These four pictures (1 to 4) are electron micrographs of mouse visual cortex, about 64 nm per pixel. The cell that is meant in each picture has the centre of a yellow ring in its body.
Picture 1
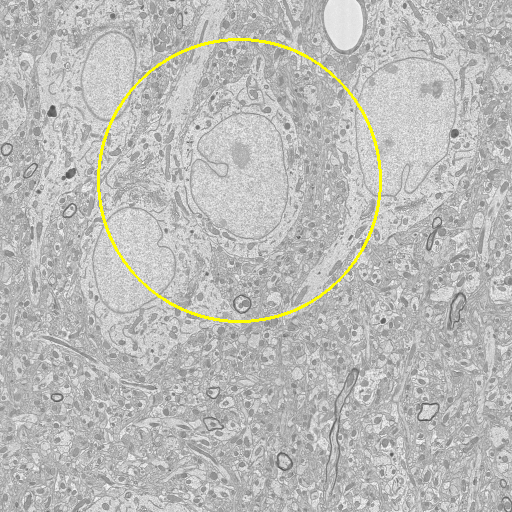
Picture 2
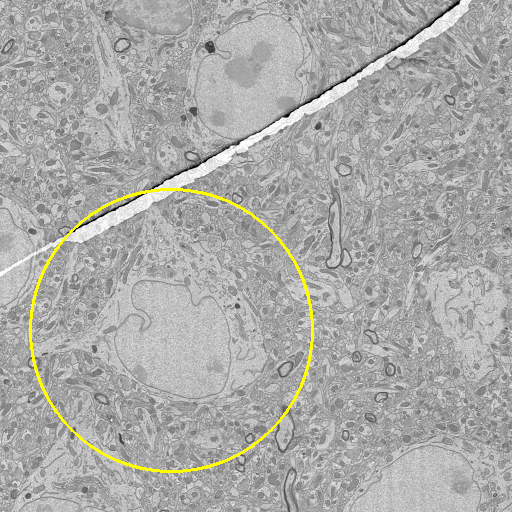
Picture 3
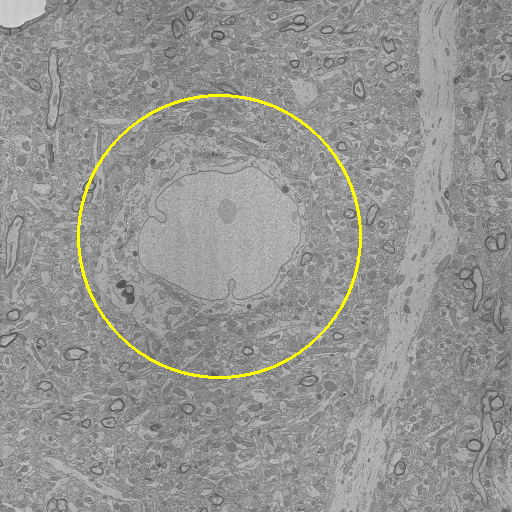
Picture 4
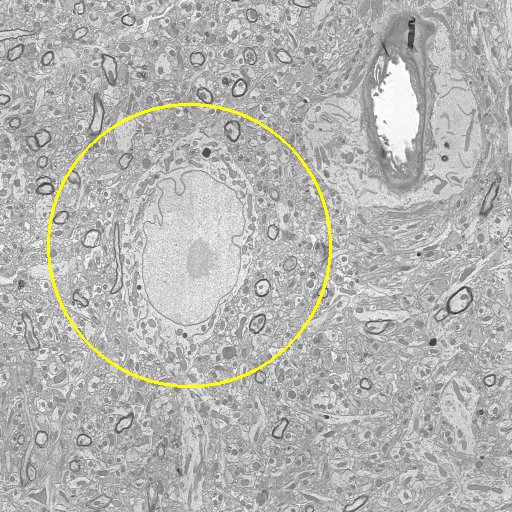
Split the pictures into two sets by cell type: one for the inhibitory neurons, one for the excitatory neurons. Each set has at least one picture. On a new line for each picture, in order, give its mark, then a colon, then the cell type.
1: inhibitory neuron
2: excitatory neuron
3: excitatory neuron
4: inhibitory neuron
